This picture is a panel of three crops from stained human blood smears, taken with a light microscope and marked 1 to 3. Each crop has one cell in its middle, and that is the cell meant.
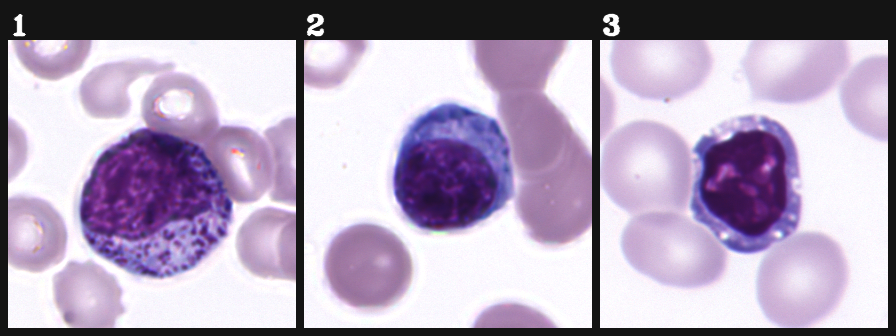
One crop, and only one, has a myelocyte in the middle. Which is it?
1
